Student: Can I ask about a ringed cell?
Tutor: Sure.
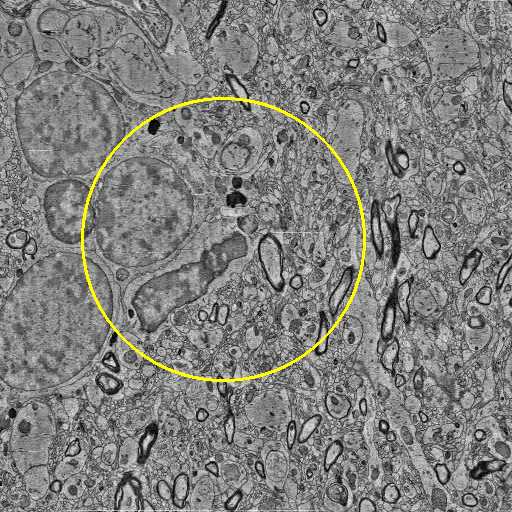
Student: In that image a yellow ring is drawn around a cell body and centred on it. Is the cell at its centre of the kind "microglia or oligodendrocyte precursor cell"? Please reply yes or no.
Yes, the cell is of that kind.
